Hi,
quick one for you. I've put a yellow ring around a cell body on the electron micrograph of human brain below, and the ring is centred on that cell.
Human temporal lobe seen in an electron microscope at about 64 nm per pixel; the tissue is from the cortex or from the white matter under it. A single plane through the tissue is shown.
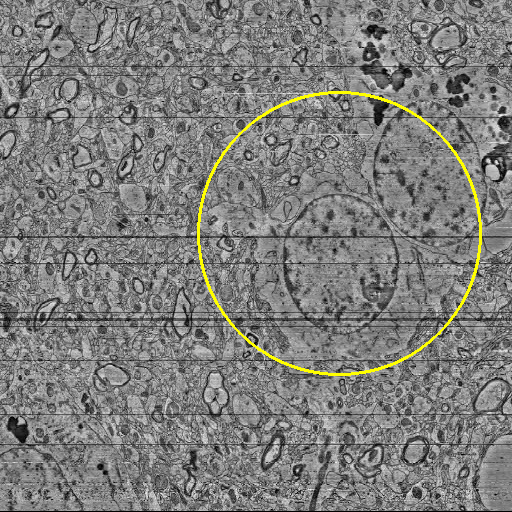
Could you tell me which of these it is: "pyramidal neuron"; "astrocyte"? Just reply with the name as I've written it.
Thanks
astrocyte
